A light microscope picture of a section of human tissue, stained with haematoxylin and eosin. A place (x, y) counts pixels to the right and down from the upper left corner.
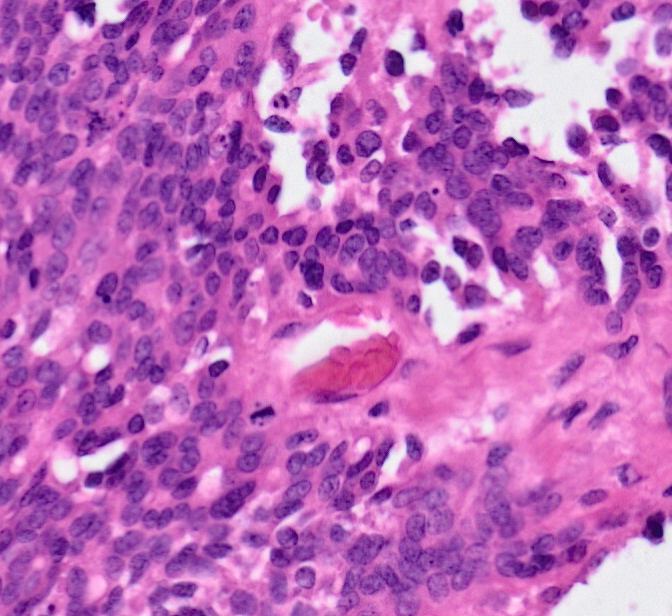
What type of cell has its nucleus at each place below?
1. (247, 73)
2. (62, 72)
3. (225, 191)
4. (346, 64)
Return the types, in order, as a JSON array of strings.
["carcinoma cell", "macrophage or monocyte", "carcinoma cell", "carcinoma cell"]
